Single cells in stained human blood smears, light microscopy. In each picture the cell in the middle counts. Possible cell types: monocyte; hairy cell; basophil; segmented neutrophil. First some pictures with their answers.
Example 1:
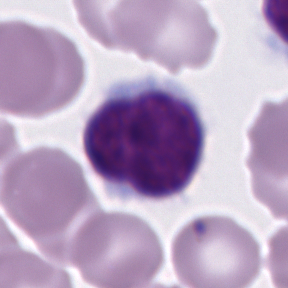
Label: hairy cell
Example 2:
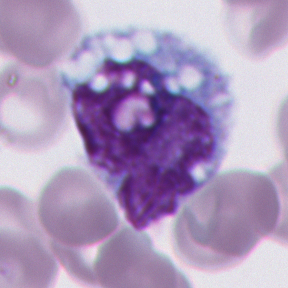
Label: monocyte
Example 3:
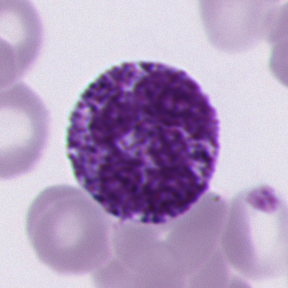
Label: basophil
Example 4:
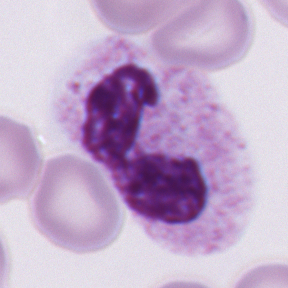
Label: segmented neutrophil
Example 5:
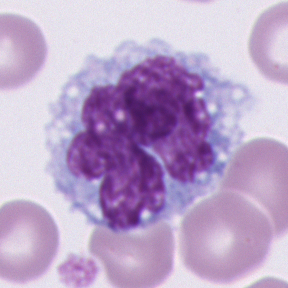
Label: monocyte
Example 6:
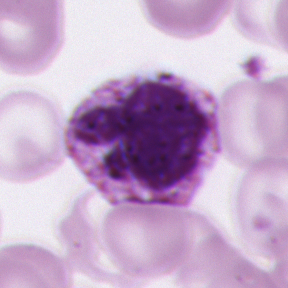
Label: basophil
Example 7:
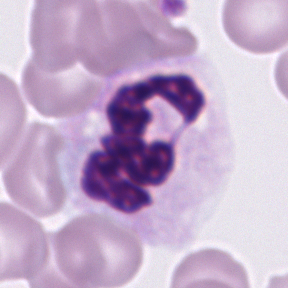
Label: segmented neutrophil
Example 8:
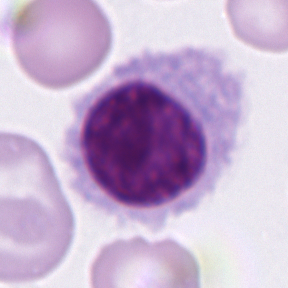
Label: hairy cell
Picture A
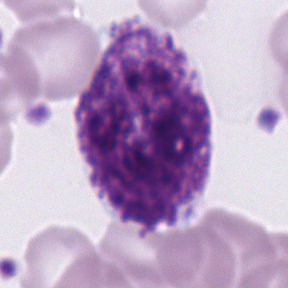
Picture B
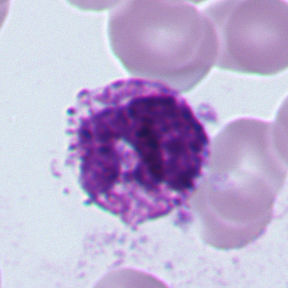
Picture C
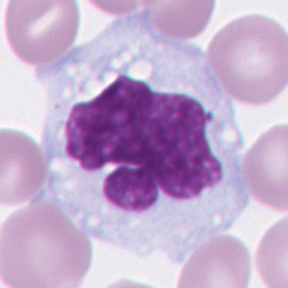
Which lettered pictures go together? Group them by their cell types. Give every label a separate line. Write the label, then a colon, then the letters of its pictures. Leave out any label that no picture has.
monocyte: C
basophil: A, B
